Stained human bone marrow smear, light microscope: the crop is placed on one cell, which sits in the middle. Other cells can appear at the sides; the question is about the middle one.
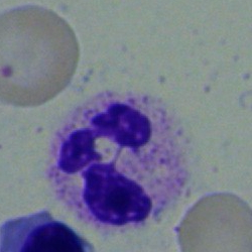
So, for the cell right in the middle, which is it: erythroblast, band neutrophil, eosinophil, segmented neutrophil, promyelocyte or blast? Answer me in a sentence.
The cell sitting right in the middle is a segmented neutrophil.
